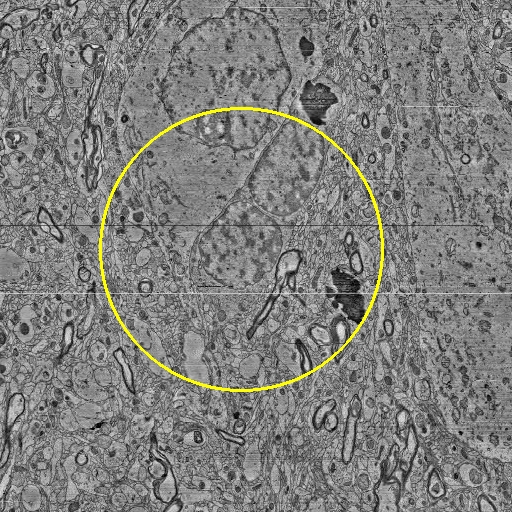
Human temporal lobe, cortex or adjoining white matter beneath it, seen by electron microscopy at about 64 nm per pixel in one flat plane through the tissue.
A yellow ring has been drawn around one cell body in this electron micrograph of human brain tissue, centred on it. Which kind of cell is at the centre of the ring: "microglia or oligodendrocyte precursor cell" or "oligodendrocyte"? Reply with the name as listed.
oligodendrocyte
